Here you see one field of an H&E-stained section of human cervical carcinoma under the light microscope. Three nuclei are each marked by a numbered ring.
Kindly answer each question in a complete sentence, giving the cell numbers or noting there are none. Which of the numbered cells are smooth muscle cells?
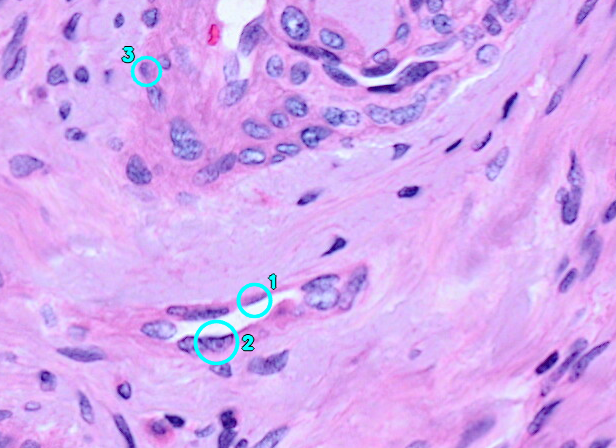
No marked cell except number 3 is a smooth muscle cell.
